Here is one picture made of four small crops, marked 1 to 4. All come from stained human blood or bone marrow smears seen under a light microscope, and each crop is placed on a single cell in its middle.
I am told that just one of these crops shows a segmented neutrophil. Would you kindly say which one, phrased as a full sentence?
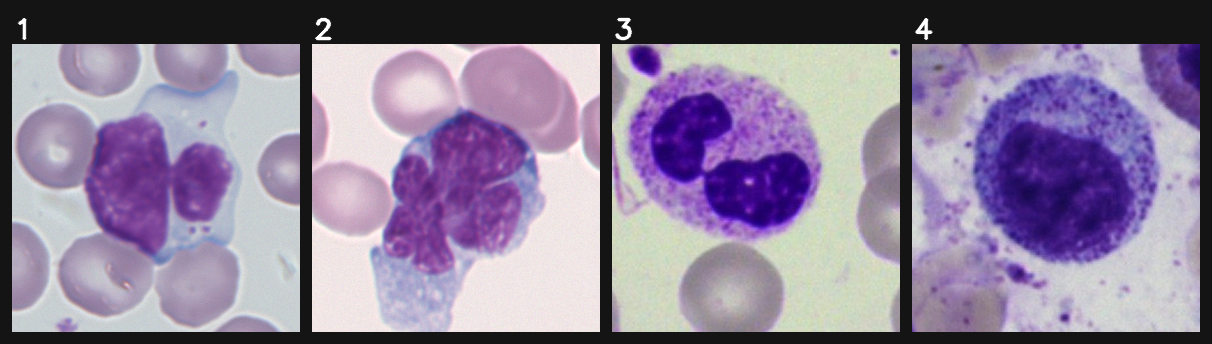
Among the crops provided, a segmented neutrophil occupies the center of crop 3.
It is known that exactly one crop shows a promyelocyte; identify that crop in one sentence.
Crop 4 alone, of all the crops, shows a promyelocyte.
